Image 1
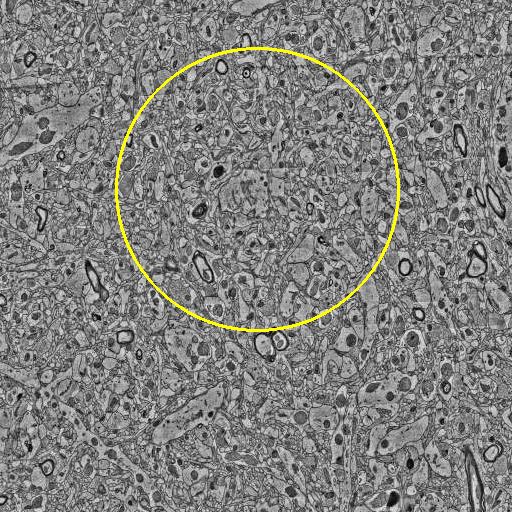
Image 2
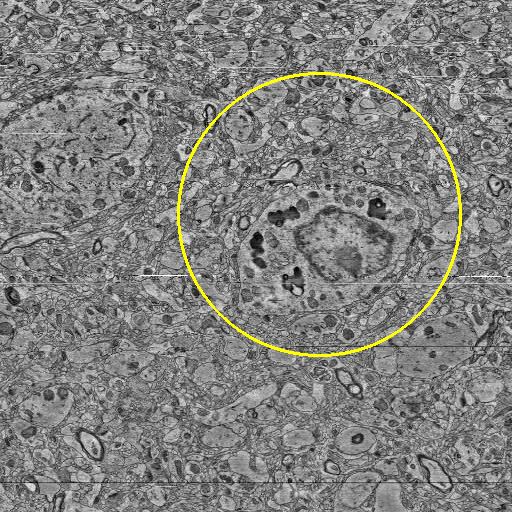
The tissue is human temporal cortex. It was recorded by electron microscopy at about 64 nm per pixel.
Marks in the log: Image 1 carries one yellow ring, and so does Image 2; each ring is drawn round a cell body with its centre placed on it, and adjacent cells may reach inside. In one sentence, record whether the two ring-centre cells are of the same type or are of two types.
The two cells at the ring centres, one in each image, are of the same type.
